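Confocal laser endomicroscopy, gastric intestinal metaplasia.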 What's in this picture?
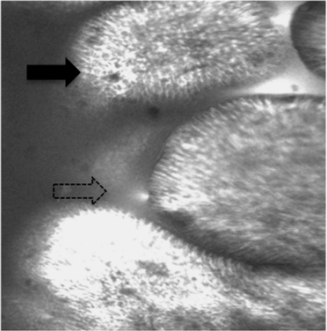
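Villus-like structures lined by bright columnar epithelium with radially arranged cells along their edges. Small round dark goblet cells are dotted through the epithelium, and a small bright spot lies in the dark space between the villi.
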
